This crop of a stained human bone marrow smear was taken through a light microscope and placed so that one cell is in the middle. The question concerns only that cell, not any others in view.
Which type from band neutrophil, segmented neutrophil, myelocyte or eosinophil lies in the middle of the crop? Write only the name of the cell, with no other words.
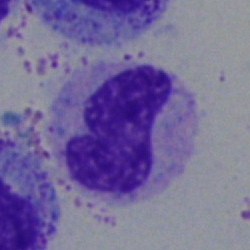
band neutrophil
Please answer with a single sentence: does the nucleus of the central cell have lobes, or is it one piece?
Its nucleus is compact and single, with a round, oval or kidney-shaped form.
